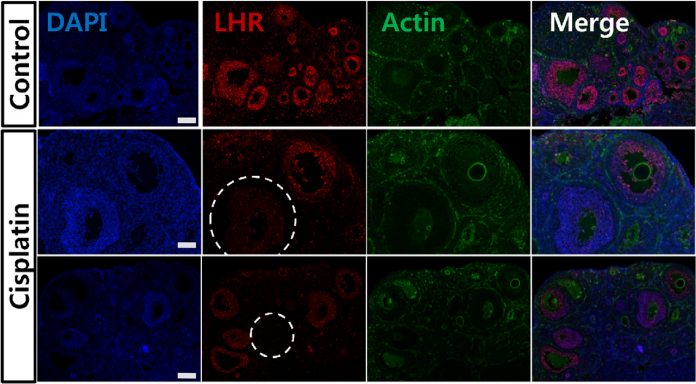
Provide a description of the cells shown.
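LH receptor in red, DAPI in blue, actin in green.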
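Ovarian cortex sections showing follicles of various sizes, each a round cluster of densely packed nuclei, some with a central cavity. Red signal fills the cell layers of many follicles, while green outlines cell borders and follicle boundaries, with a bright green ring around a large oocyte. Dashed circles enclose follicles with faint red compared with their neighbours.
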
